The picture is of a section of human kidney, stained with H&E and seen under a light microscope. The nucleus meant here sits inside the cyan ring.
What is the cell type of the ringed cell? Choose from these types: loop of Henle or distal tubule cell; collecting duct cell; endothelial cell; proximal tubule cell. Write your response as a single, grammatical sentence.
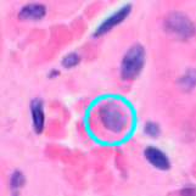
In cell-type terms, the ringed cell is an endothelial cell.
